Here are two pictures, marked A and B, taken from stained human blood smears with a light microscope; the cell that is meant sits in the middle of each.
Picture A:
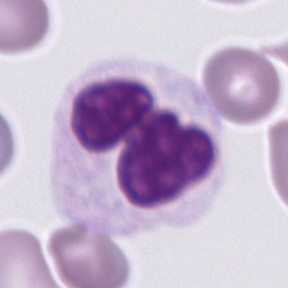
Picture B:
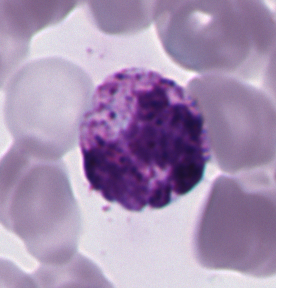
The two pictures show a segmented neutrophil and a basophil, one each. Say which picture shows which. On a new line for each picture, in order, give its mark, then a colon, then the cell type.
A: segmented neutrophil
B: basophil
